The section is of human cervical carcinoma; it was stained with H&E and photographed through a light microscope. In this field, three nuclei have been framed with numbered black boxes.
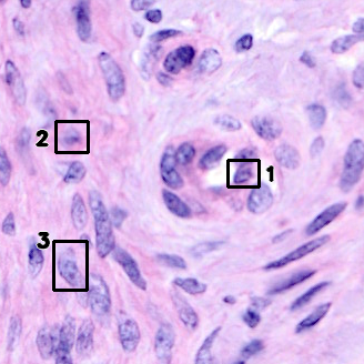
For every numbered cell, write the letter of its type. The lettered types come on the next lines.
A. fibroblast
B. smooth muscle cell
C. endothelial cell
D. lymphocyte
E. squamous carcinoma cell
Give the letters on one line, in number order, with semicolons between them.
C; B; B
